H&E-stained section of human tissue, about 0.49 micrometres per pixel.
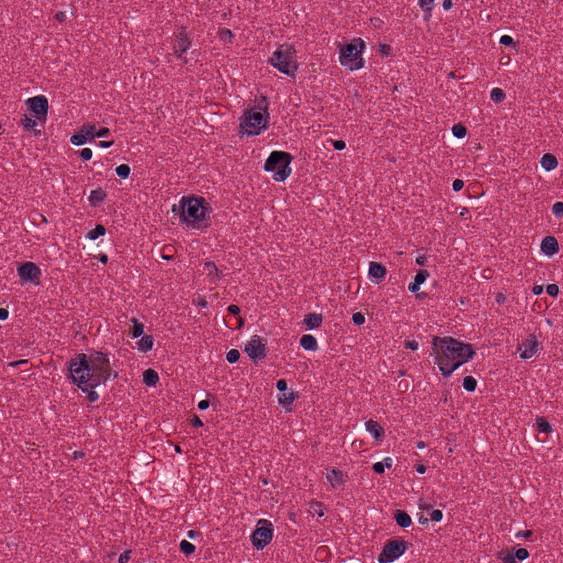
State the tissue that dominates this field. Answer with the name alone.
cerebral cortex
